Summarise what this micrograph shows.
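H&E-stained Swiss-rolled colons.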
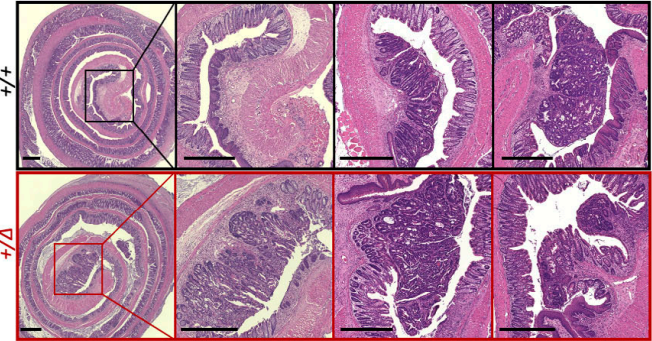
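In the overview images the gut wall forms concentric coils, with a purple glandular mucosa on one face and a pink layer of muscle and connective tissue on the other. The enlarged views show areas where the mucosa is thickened and the glands are crowded and closely packed, staining deep purple. Some of these areas bulge as raised masses made of irregular, branching glands into the lumen. Pink stroma lies beneath and between these crowded glandular regions.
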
